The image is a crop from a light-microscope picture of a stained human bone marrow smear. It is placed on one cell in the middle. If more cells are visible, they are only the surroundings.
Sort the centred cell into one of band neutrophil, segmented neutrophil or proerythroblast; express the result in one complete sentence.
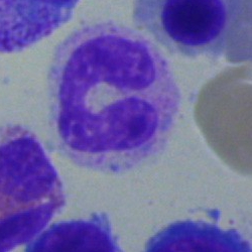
Present in the middle of the crop is a band neutrophil.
